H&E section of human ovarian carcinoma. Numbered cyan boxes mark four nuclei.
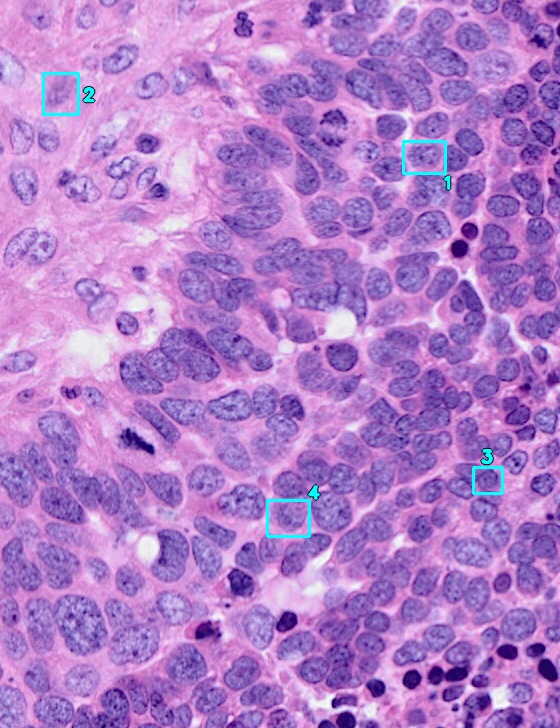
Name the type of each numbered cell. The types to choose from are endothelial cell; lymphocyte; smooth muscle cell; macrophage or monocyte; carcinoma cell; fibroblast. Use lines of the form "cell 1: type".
cell 1: carcinoma cell
cell 2: fibroblast
cell 3: carcinoma cell
cell 4: carcinoma cell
